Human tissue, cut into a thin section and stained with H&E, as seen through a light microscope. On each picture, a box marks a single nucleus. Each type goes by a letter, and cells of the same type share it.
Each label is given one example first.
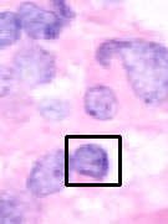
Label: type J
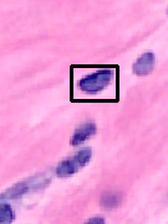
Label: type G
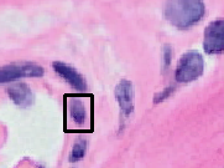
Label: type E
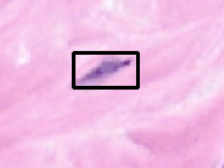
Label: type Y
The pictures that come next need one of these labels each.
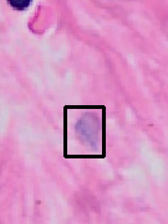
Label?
type Y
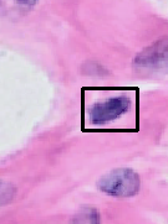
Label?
type G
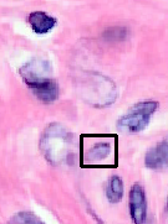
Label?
type E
